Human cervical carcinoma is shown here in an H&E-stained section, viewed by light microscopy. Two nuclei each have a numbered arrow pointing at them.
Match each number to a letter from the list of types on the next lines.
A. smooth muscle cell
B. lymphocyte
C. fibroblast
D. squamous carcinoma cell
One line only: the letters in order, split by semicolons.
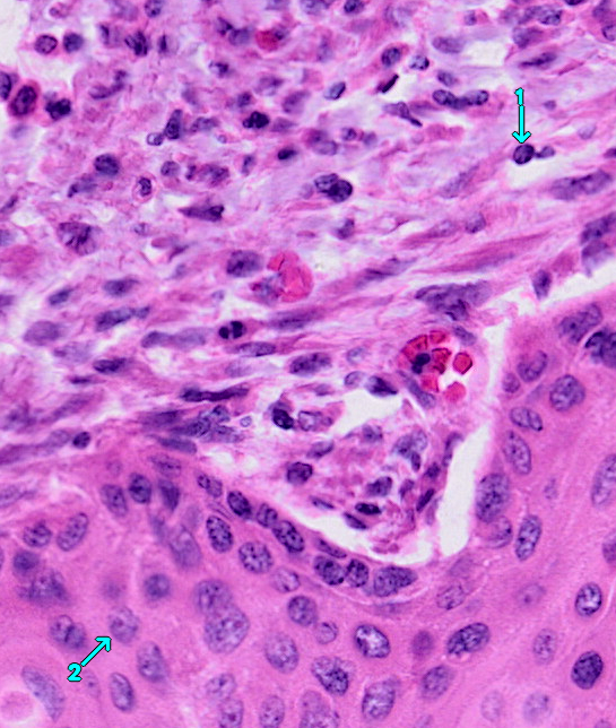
B; D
